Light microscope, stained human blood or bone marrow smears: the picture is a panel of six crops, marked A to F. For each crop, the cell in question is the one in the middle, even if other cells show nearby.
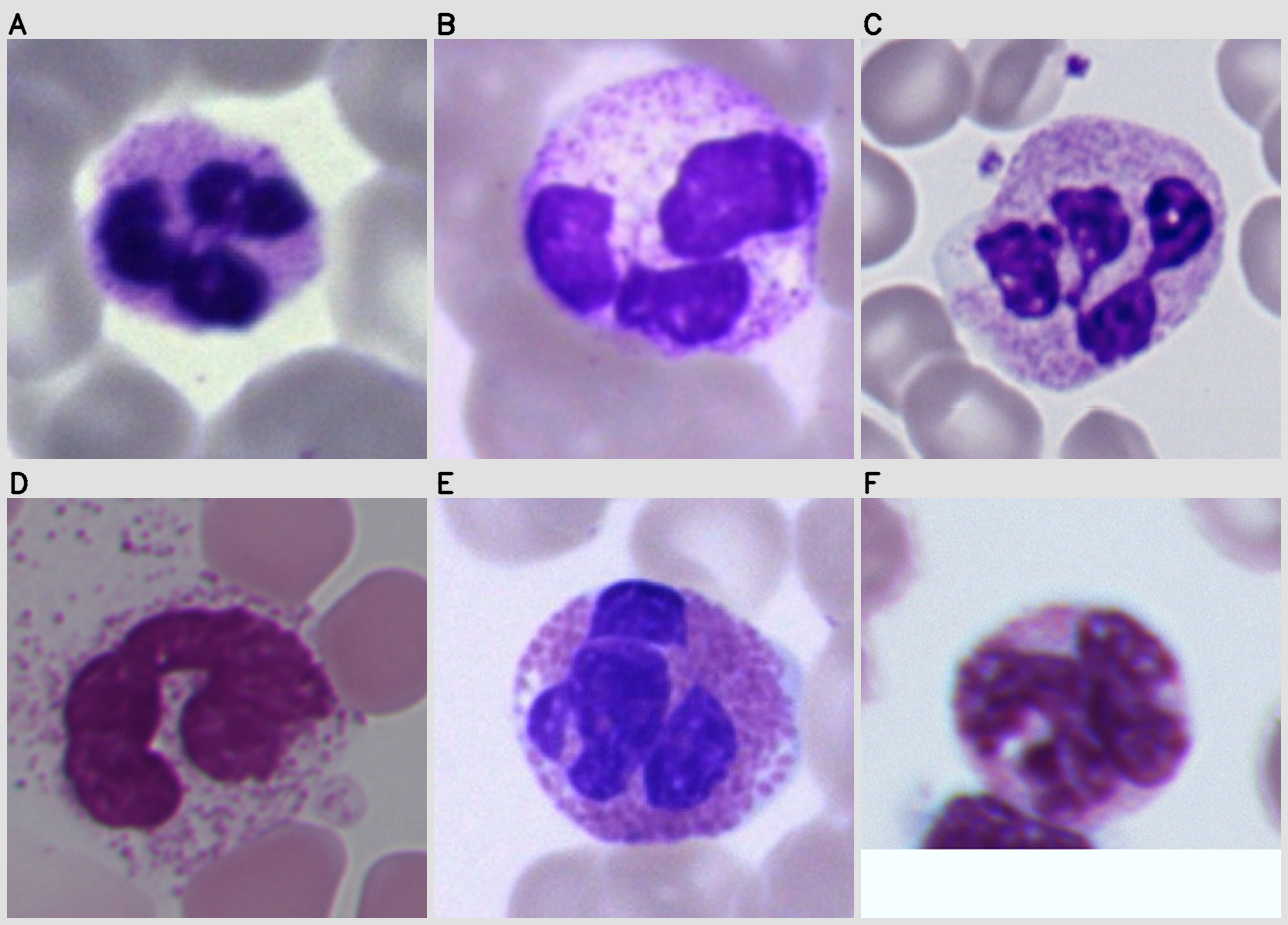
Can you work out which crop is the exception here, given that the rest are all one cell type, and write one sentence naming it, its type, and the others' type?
Crop E presents an eosinophil, while segmented neutrophils are presented by all other crops.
